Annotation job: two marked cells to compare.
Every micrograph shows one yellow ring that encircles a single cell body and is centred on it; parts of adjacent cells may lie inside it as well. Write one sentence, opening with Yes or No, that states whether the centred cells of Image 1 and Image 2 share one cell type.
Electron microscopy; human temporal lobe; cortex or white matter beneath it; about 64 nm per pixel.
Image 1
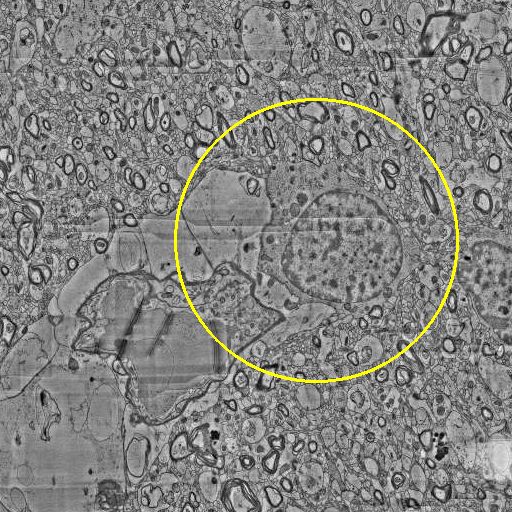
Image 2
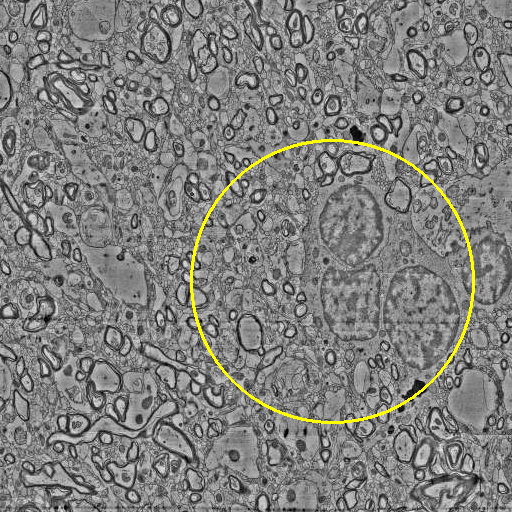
Yes, the cell centred in Image 1 shares its type with the cell centred in Image 2.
